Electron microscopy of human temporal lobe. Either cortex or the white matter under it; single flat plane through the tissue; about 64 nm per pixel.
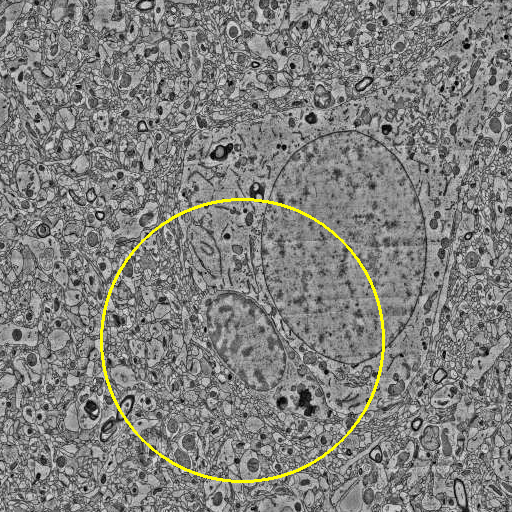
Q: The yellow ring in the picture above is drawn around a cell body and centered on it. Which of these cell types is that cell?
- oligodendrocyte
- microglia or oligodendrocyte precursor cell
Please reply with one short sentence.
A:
The cell body at the ring's center belongs to an oligodendrocyte.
